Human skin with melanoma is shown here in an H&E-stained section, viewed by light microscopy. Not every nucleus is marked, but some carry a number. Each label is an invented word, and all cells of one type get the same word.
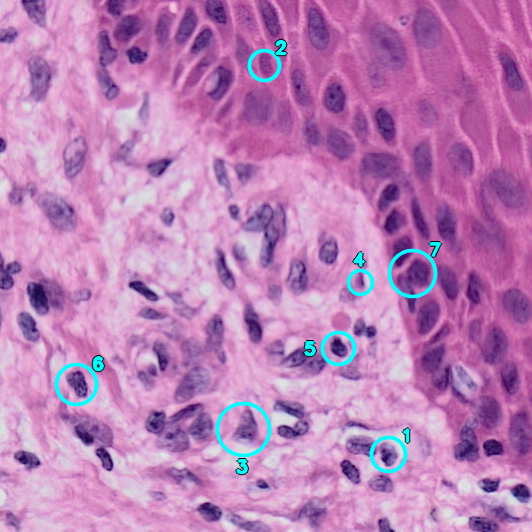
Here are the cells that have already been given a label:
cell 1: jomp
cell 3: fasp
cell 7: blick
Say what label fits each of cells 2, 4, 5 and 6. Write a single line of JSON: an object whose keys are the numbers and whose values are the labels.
{"2": "blick", "4": "fasp", "5": "jomp", "6": "jomp"}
